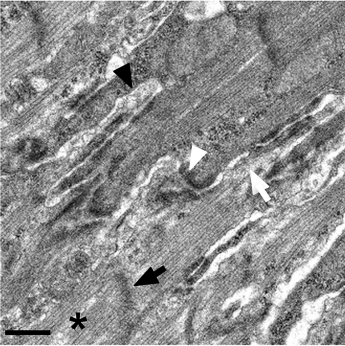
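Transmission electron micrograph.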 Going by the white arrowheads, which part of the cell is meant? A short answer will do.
Desmosomes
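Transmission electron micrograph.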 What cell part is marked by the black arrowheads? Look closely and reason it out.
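The boundary runs obliquely among myofibrils with pale gaps beside it.
Hence: adherens junctions.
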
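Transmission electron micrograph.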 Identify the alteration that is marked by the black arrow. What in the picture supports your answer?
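The black arrow points at a dark transverse band within the striated myofibril. The band is blurred and irregular rather than a thin sharp line. The answer: Abnormal Z-line.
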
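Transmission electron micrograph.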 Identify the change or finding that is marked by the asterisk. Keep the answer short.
Filament disruption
